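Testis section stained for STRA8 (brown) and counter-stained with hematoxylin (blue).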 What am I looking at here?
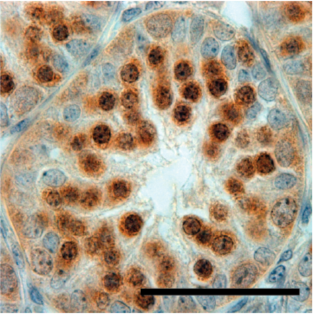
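A cross-section of a seminiferous tubule shows many preleptotene spermatocytes, whose round nuclei are stained brown. These brown nuclei are packed in radiating rows that run from near the wall toward a pale central lumen, so the stained cells make up much of the tubule. Between and below them, cells with blue-stained nuclei lie along the wall of the tubule. Outside the tubule, flattened blue nuclei of the surrounding tissue and parts of neighbouring tubules, also with brown nuclei, can be seen.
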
